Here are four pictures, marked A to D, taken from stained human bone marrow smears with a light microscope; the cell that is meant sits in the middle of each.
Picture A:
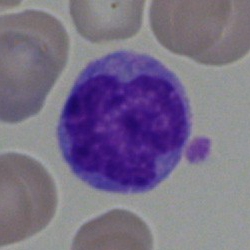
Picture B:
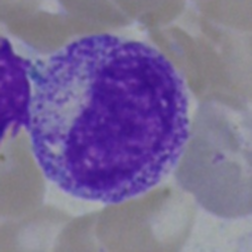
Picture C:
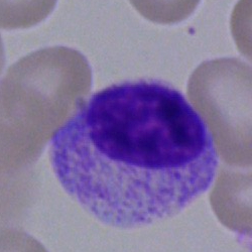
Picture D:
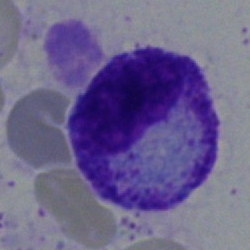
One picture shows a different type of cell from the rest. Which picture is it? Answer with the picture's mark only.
A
